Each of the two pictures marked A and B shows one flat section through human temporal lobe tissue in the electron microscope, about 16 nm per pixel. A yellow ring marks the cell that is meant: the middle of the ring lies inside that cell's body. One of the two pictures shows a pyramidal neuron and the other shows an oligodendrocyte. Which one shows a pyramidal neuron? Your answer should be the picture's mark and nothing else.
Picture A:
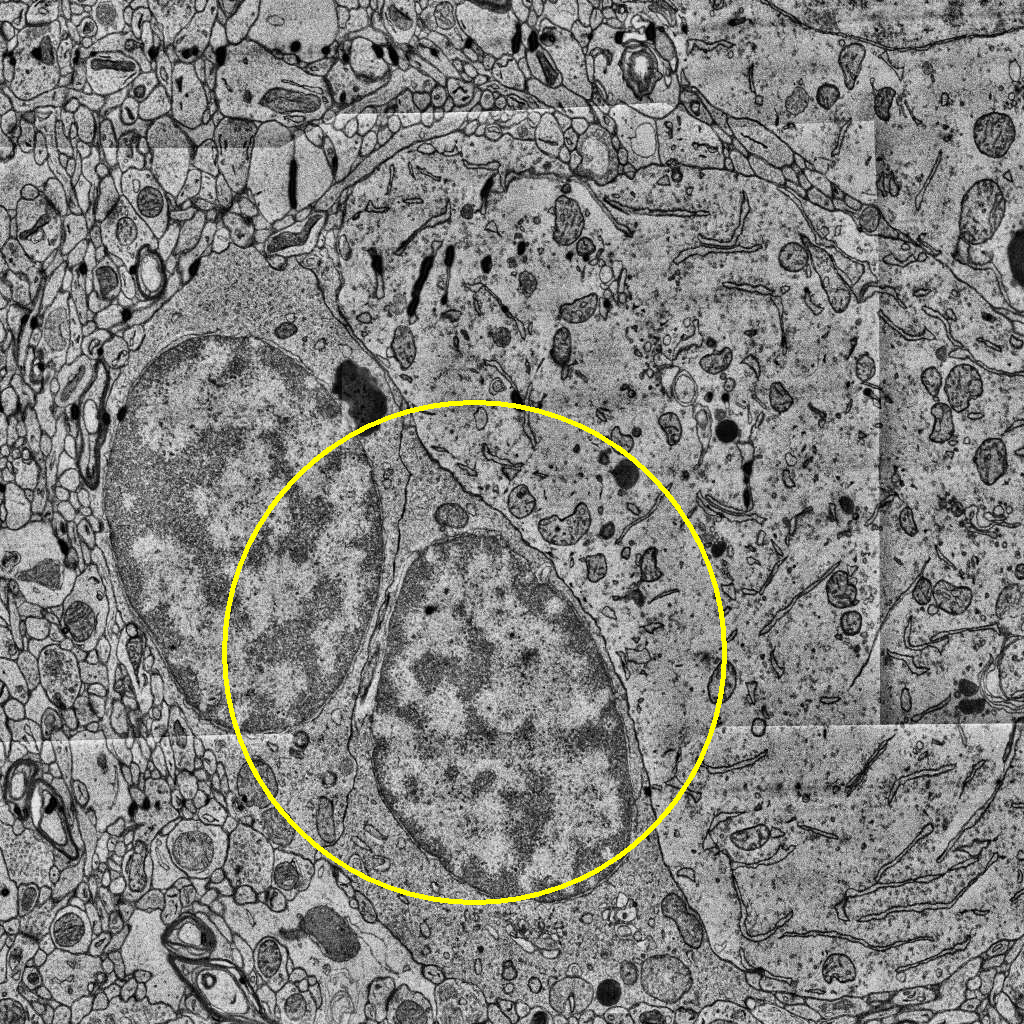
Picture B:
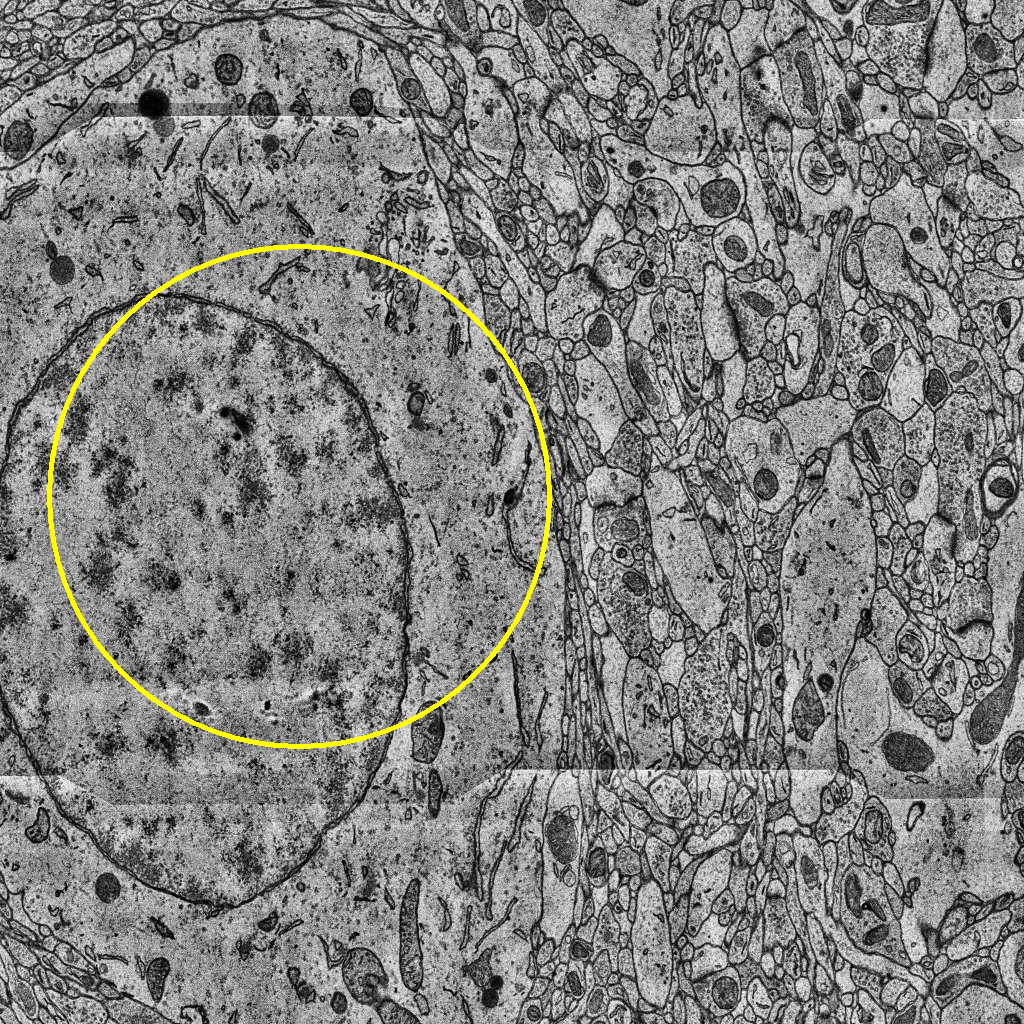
B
